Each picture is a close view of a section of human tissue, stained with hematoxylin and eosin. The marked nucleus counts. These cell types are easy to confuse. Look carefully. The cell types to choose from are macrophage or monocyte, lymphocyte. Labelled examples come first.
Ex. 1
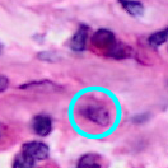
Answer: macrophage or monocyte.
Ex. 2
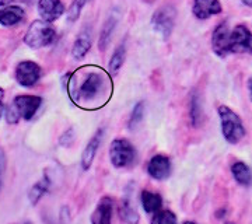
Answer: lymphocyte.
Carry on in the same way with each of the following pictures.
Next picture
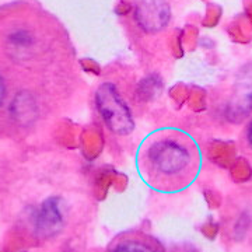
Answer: macrophage or monocyte.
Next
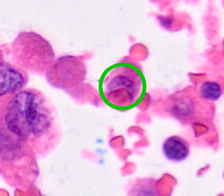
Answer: macrophage or monocyte.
